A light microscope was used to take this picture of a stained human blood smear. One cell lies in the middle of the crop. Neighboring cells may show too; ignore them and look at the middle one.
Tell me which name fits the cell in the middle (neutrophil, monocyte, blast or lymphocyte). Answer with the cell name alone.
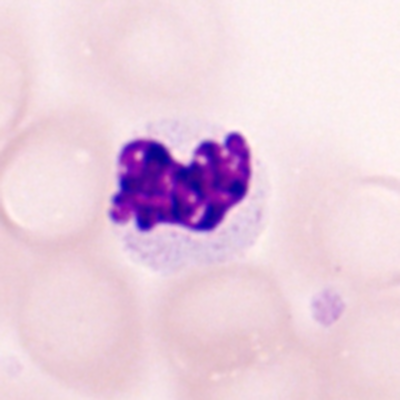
neutrophil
